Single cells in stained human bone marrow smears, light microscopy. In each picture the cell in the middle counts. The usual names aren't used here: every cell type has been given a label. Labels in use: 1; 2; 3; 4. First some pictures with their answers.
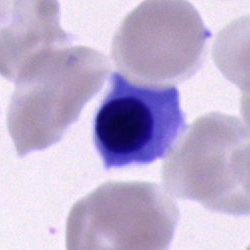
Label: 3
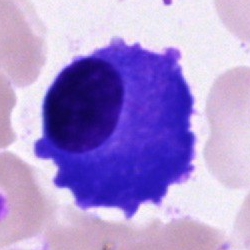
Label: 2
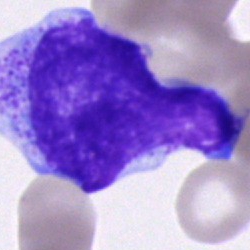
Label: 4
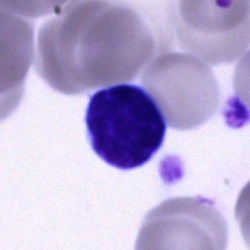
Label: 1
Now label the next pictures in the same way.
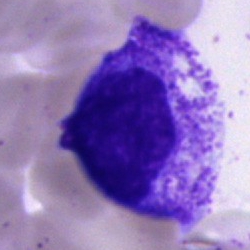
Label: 4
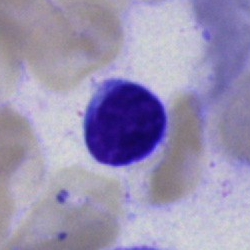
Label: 1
